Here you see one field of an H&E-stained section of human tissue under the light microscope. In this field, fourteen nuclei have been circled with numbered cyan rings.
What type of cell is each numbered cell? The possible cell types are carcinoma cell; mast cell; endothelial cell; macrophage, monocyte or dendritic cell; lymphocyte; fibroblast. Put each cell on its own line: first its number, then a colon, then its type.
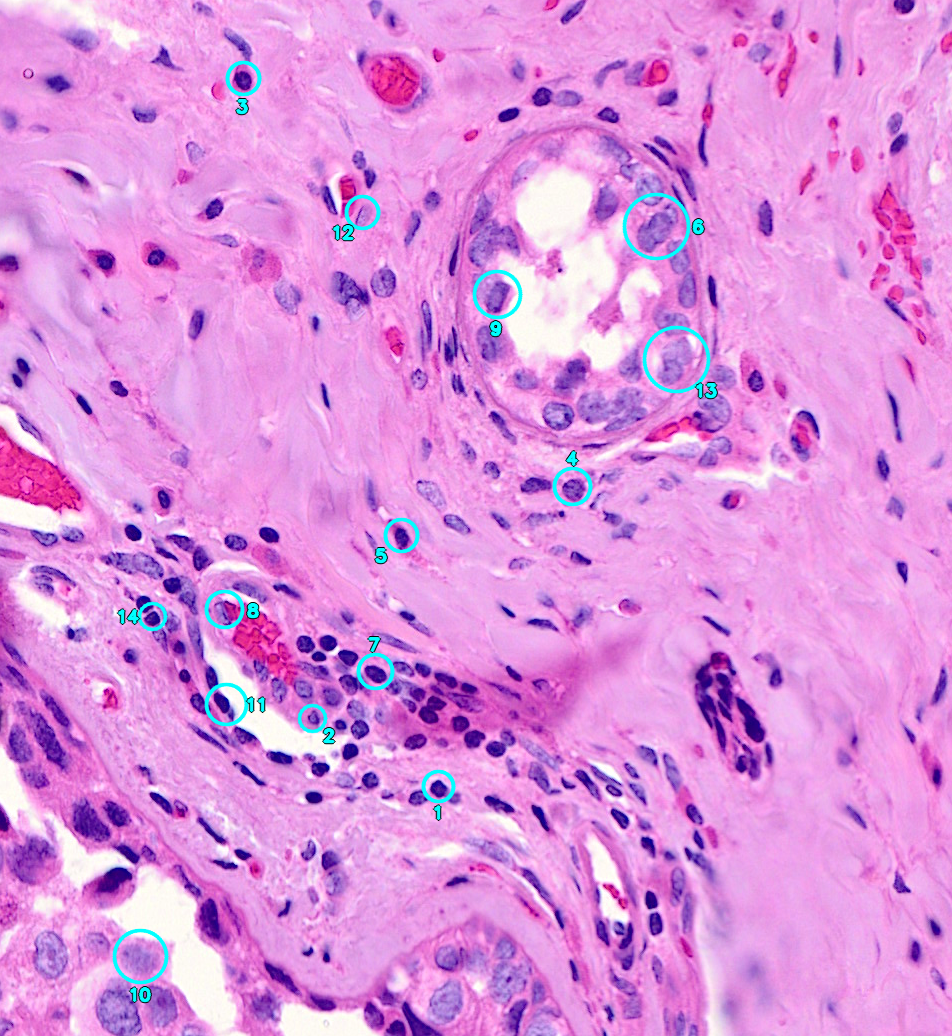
1: lymphocyte
2: endothelial cell
3: mast cell
4: macrophage, monocyte or dendritic cell
5: mast cell
6: carcinoma cell
7: lymphocyte
8: endothelial cell
9: carcinoma cell
10: carcinoma cell
11: lymphocyte
12: endothelial cell
13: carcinoma cell
14: lymphocyte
